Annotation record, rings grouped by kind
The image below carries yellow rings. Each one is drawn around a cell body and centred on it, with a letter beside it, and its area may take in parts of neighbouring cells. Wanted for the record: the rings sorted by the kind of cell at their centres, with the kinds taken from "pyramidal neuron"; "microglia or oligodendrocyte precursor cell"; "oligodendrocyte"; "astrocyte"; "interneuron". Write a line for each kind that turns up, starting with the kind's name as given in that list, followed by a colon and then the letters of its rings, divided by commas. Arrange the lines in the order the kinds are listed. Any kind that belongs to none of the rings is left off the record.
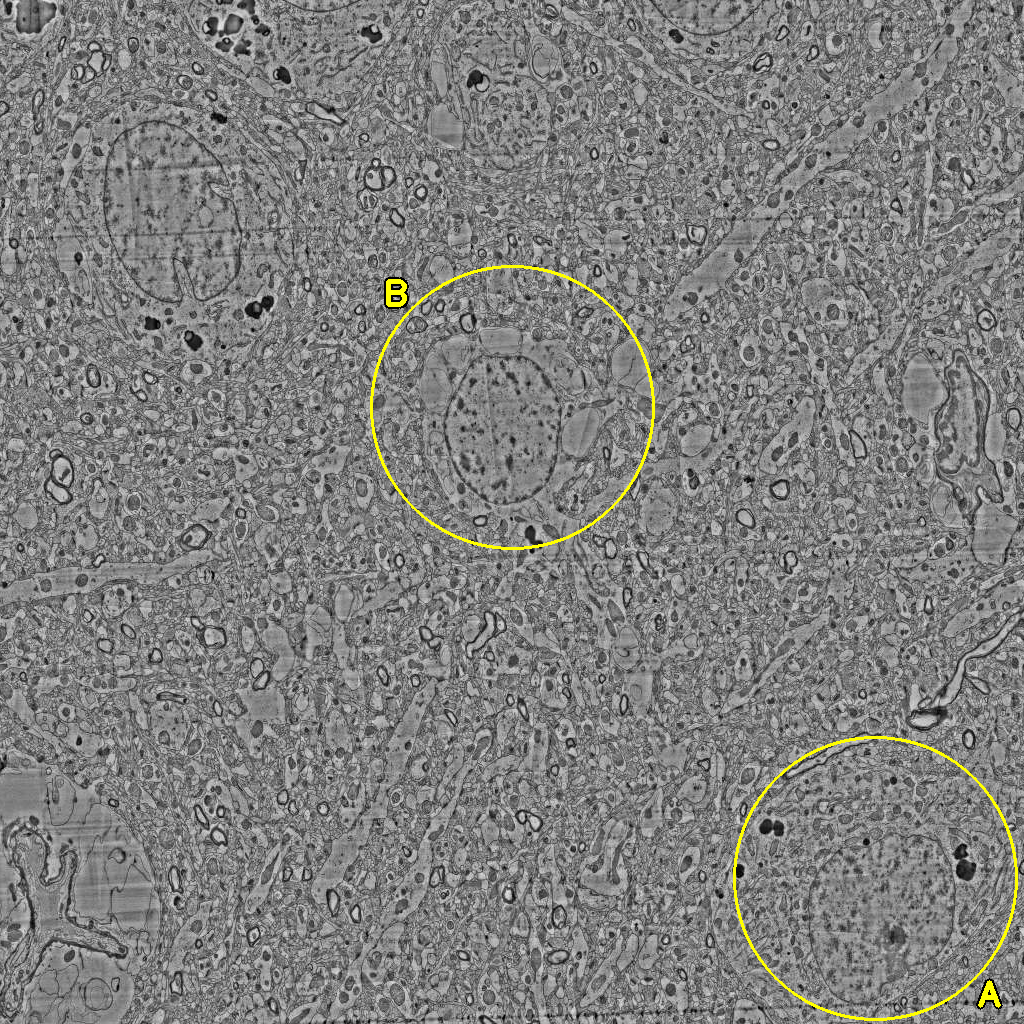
astrocyte: B
interneuron: A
